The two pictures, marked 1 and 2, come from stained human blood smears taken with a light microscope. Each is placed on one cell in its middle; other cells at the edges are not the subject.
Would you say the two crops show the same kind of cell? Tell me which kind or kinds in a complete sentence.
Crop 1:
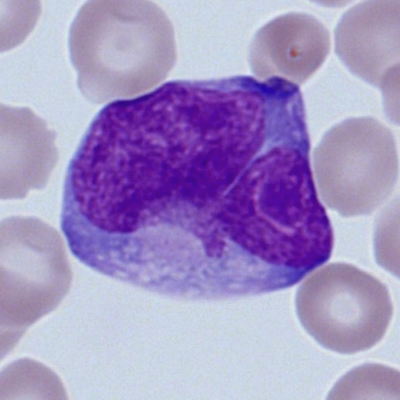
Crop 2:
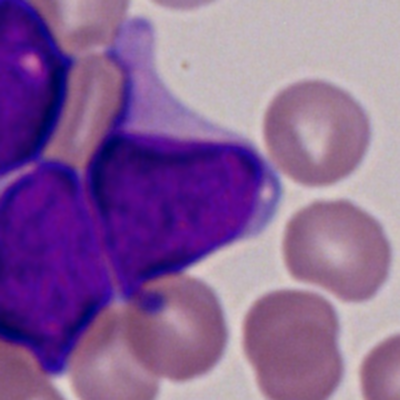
Yes, the first and the second crop both show myeloblasts.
